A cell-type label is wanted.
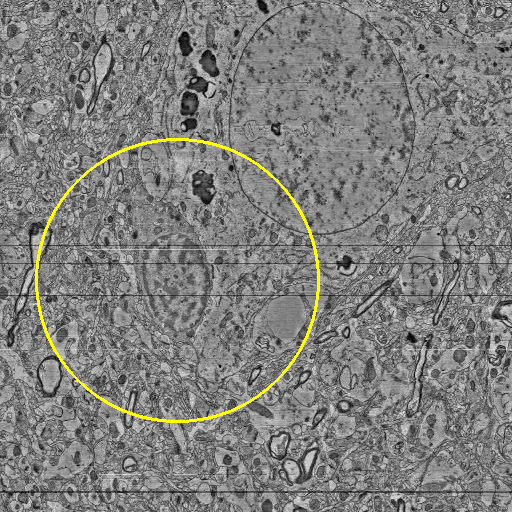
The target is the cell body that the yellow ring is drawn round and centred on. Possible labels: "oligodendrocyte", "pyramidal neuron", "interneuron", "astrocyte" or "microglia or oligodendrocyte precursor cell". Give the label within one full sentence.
Of the labels offered, the cell in the middle of the yellow ring is an oligodendrocyte.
